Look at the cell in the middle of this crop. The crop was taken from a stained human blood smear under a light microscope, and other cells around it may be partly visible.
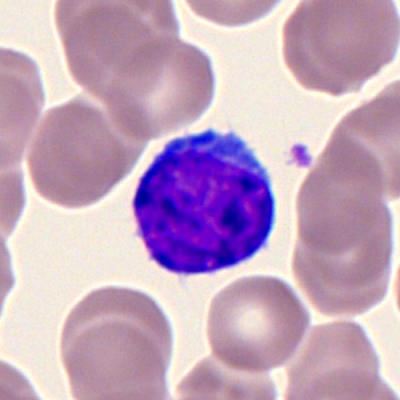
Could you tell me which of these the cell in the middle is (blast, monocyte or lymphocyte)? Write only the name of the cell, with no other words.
lymphocyte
